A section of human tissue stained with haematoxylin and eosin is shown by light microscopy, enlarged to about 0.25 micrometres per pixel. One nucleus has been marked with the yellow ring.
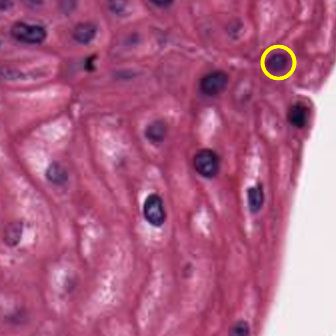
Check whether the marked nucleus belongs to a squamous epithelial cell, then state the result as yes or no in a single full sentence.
Yes, it is a squamous epithelial cell to which the marked nucleus belongs.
